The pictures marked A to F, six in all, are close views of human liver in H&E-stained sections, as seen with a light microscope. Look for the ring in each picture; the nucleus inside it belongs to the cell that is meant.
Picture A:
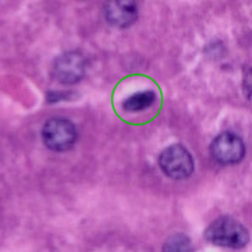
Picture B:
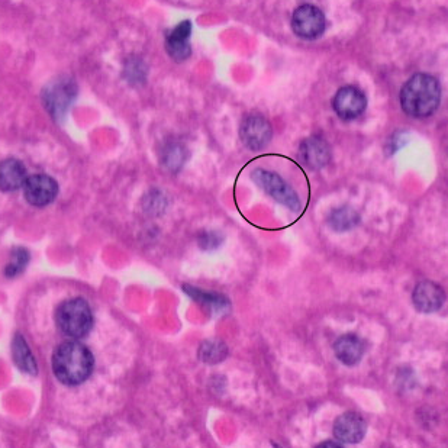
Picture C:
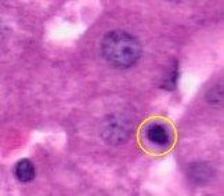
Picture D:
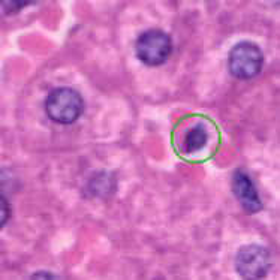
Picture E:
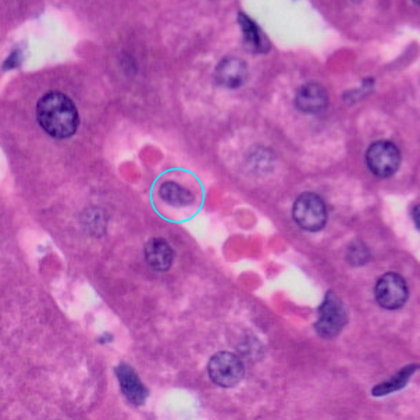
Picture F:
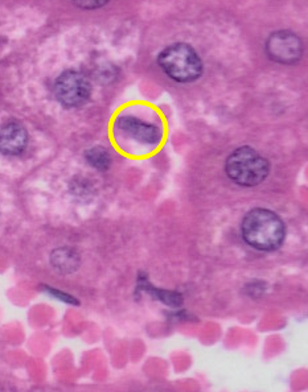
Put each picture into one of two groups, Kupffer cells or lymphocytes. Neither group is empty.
A: lymphocyte
B: Kupffer cell
C: lymphocyte
D: lymphocyte
E: Kupffer cell
F: Kupffer cell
